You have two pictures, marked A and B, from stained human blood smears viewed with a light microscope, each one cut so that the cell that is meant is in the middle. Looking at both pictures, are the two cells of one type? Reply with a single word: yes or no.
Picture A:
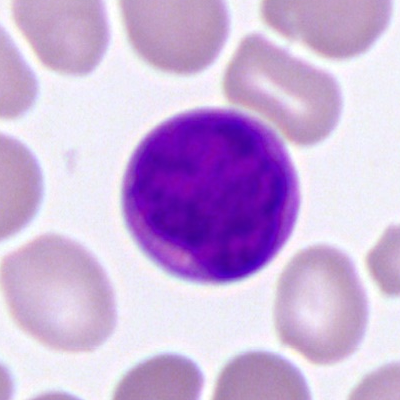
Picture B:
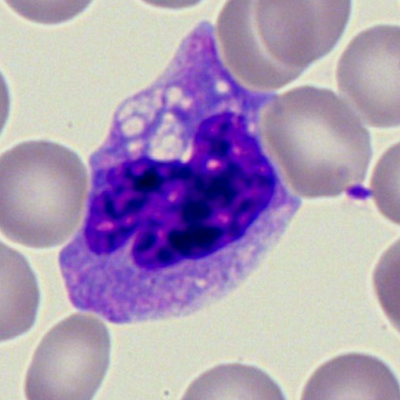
no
